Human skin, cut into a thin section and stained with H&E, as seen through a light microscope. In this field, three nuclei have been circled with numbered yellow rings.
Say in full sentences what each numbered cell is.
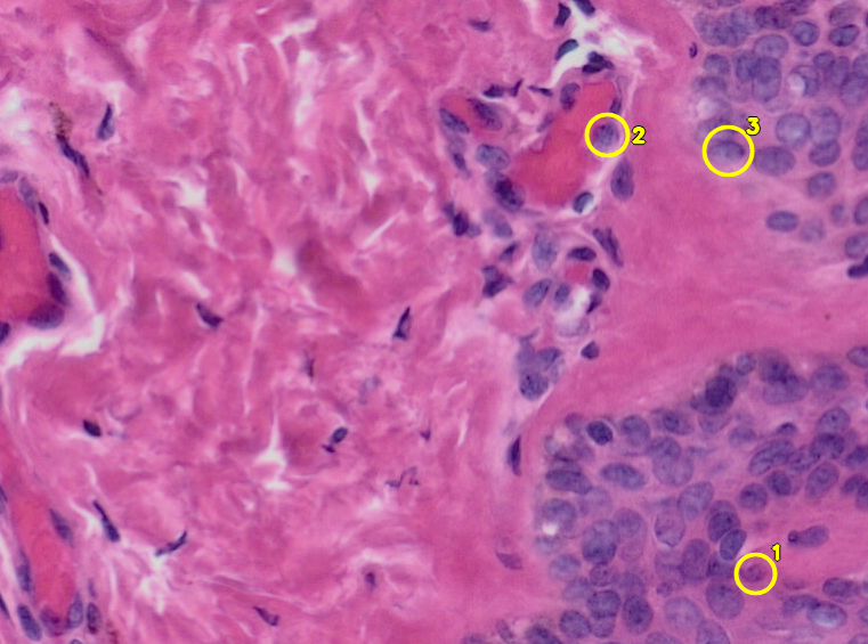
Cell 1 is a basal keratinocyte, cell 2 is an endothelial cell and cell 3 is a basal keratinocyte.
